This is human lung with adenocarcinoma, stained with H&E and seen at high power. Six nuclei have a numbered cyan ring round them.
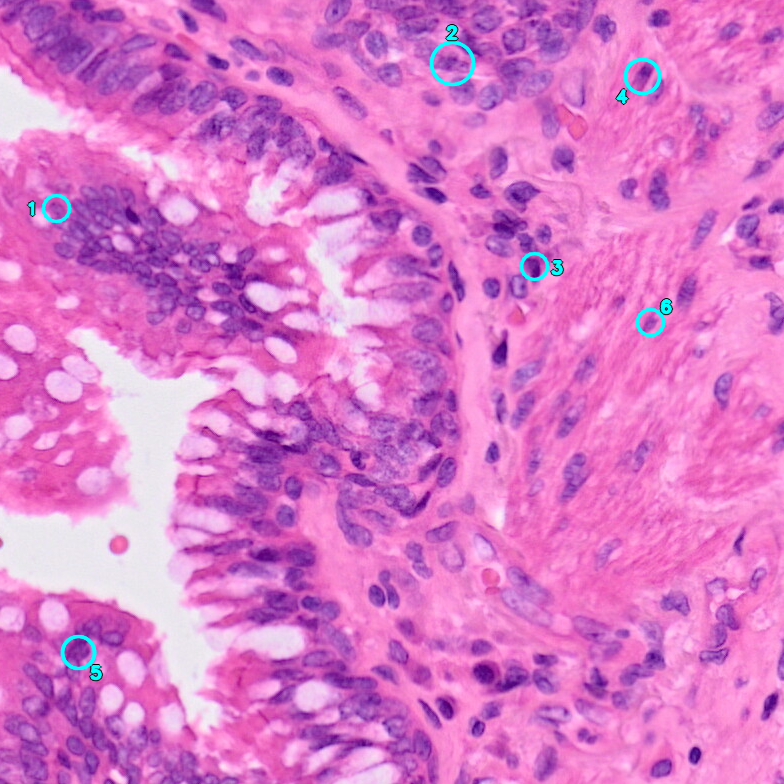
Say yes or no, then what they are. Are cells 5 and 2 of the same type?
Yes, that is right: cells 5 and 2 are both ciliated epithelial cells.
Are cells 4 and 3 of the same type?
No, cell 4 here is a smooth muscle cell or pericyte and cell 3 here is a plasma cell.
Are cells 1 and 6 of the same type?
No, the right answer is a ciliated epithelial cell for cell 1 and a smooth muscle cell or pericyte for cell 6.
